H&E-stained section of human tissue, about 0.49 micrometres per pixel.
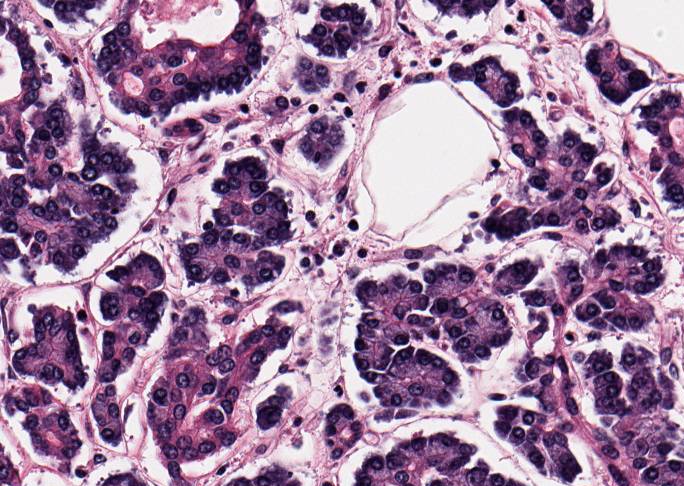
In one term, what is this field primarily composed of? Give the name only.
exocrine pancreas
